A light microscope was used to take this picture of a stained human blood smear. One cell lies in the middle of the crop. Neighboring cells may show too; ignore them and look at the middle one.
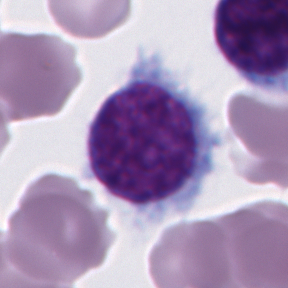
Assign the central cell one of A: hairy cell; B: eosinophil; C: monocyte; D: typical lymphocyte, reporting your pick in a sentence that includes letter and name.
Here the right option is A, as the cell in the middle is a hairy cell.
